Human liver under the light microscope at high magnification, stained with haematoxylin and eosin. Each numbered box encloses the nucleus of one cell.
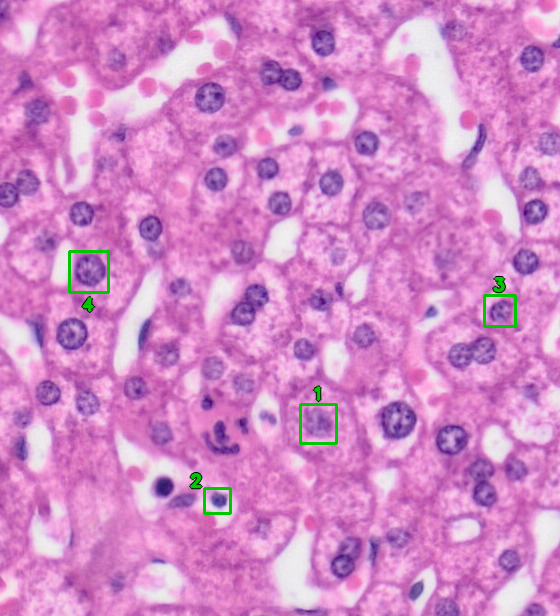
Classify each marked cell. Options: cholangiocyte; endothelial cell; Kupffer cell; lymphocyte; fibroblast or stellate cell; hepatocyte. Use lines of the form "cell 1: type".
cell 1: hepatocyte
cell 2: lymphocyte
cell 3: hepatocyte
cell 4: hepatocyte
